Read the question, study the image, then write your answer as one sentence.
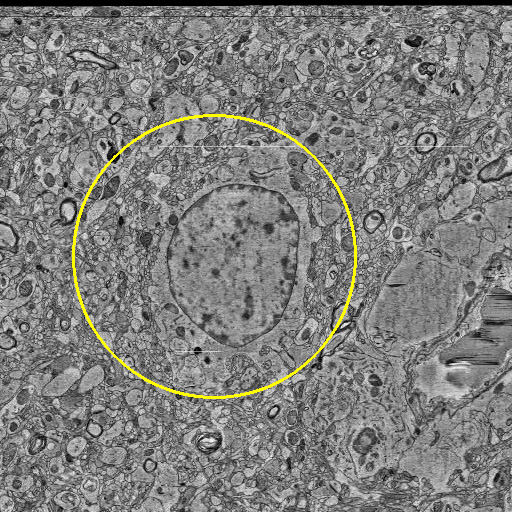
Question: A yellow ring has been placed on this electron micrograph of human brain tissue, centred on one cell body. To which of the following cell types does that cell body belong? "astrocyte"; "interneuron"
That cell body belongs to an astrocyte.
